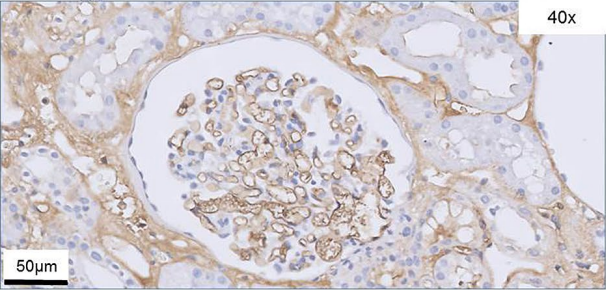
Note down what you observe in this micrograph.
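A kidney glomerulus is seen in the centre, a rounded tuft of capillary loops separated by a clear urinary space from a thin Bowman capsule. Brown staining lines the capillary loops widely across the tuft, tracing their walls as fine brown rings and curves, with blue nuclei scattered among the loops. Around the glomerulus lie tubules cut in cross section, lined by cuboidal epithelium with round blue nuclei and pale cytoplasm that is mostly unstained. Between the tubules the interstitium and small vessels show brown staining, outlining the tubules.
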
